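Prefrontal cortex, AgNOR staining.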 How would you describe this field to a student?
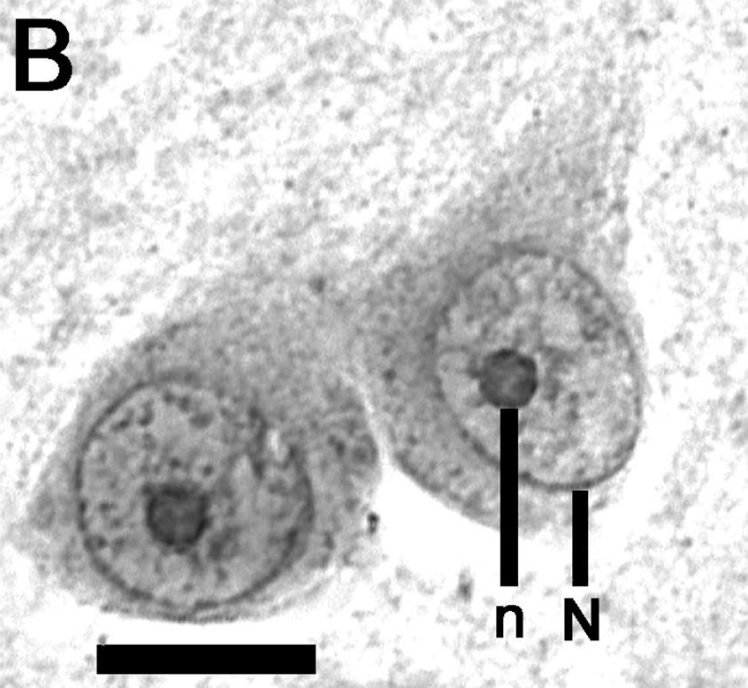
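Inside each pale, finely granular nucleus sits a single small, dark, rounded nucleolus. The surrounding cytoplasm is grey and finely granular, and the right-hand cell tapers upward into a broad extension. The cells stand against a paler, speckled background.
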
